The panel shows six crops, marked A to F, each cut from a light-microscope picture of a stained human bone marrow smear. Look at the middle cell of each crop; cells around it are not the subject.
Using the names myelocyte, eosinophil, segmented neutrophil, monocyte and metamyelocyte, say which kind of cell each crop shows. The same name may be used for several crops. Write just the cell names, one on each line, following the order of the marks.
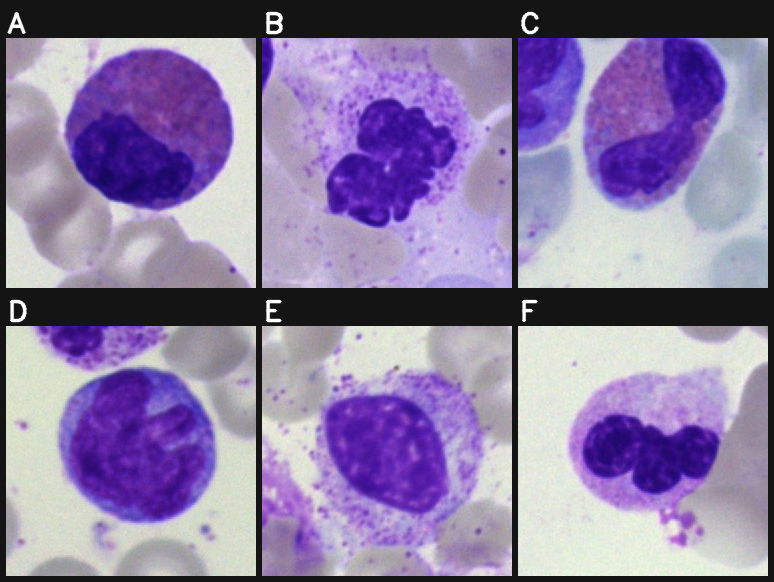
eosinophil
segmented neutrophil
eosinophil
monocyte
myelocyte
segmented neutrophil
